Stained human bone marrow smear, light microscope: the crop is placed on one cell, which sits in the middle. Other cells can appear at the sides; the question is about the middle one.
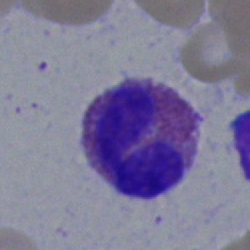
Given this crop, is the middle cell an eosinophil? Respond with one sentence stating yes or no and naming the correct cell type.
Yes, the middle cell is properly termed an eosinophil.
